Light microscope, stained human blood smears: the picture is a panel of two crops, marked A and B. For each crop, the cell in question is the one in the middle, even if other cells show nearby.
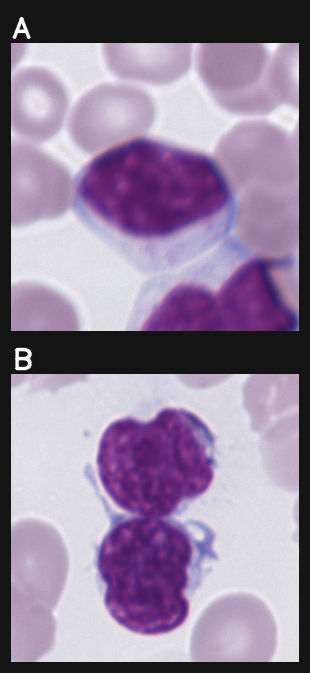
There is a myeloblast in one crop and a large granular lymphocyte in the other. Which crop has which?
A: large granular lymphocyte
B: myeloblast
